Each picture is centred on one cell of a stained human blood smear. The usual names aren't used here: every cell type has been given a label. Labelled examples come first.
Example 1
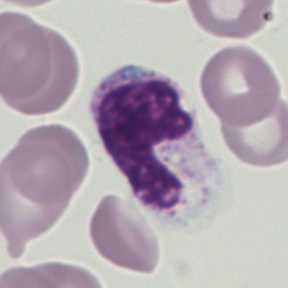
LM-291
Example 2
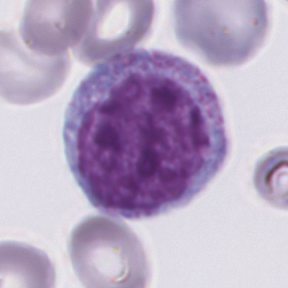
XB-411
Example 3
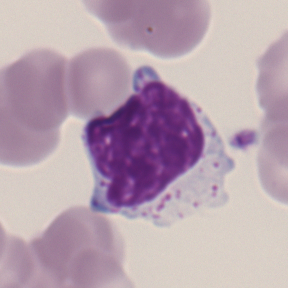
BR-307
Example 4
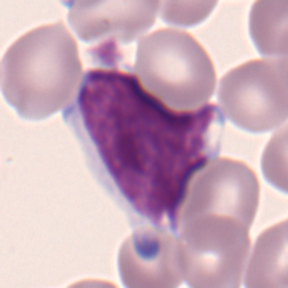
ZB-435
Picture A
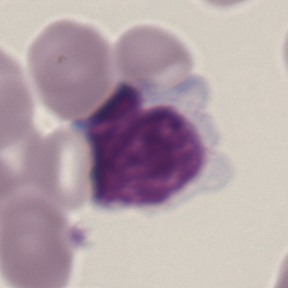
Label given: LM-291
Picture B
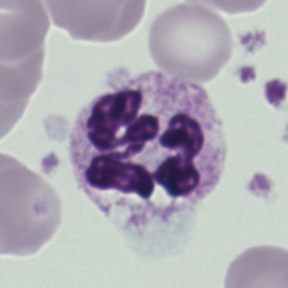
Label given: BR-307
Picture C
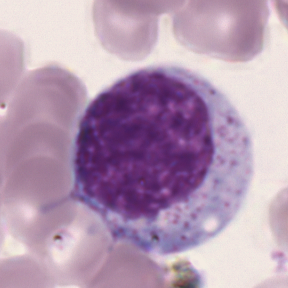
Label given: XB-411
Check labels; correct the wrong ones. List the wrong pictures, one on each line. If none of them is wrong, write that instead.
A: change LM-291 to BR-307
B: change BR-307 to LM-291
